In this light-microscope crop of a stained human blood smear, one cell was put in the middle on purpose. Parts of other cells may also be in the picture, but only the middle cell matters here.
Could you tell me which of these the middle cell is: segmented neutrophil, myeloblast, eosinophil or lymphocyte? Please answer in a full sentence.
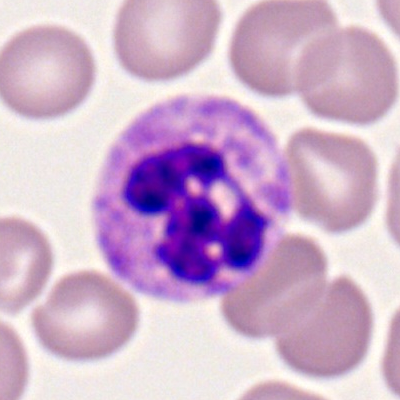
Centred in the crop is a segmented neutrophil.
